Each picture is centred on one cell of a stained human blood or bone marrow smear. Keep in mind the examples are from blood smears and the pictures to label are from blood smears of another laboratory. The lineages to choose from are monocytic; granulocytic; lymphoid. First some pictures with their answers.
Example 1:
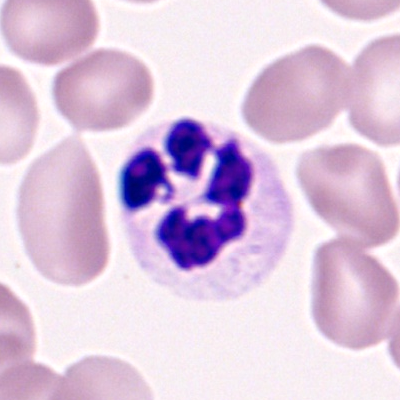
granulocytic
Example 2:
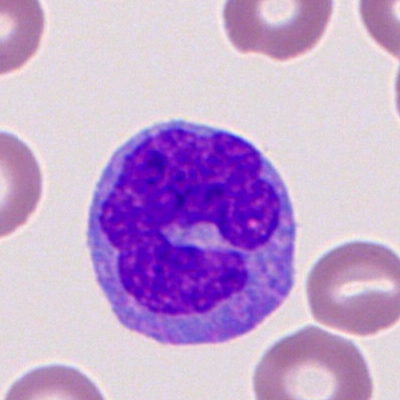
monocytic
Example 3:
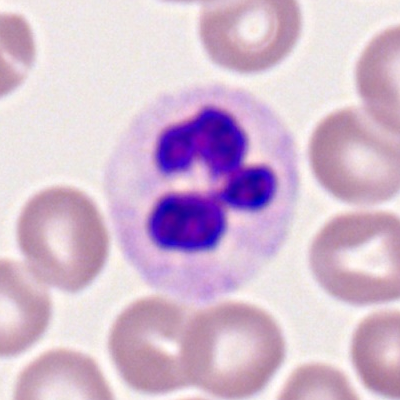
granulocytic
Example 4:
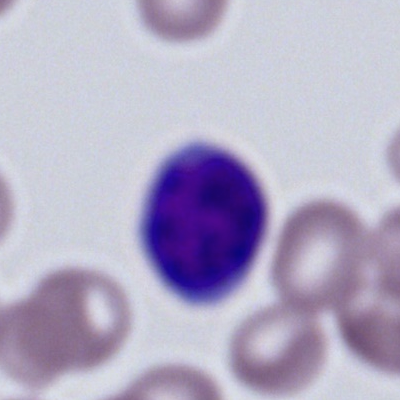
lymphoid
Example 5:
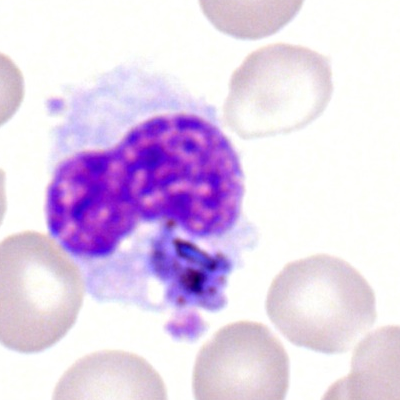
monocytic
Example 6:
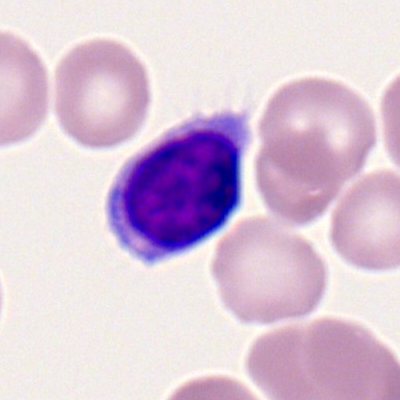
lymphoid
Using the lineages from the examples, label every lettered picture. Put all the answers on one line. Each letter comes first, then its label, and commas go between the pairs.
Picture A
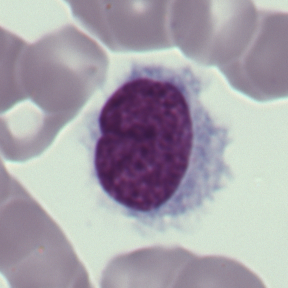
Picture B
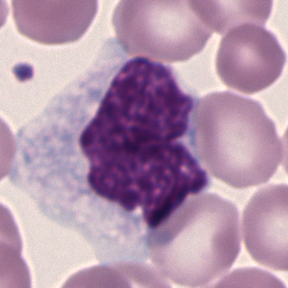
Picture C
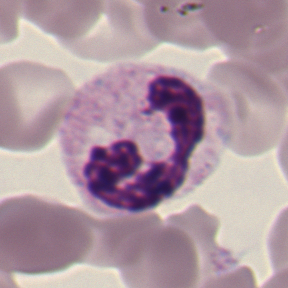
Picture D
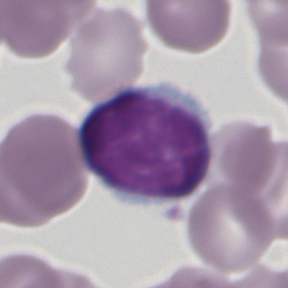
A lymphoid, B monocytic, C granulocytic, D lymphoid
